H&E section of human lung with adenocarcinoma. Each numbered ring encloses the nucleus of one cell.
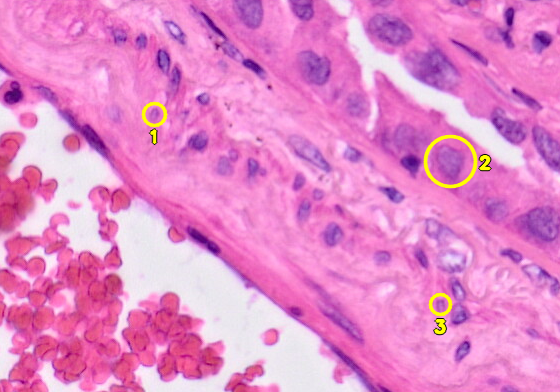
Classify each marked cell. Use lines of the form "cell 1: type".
cell 1: smooth muscle cell or pericyte
cell 2: carcinoma cell
cell 3: smooth muscle cell or pericyte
